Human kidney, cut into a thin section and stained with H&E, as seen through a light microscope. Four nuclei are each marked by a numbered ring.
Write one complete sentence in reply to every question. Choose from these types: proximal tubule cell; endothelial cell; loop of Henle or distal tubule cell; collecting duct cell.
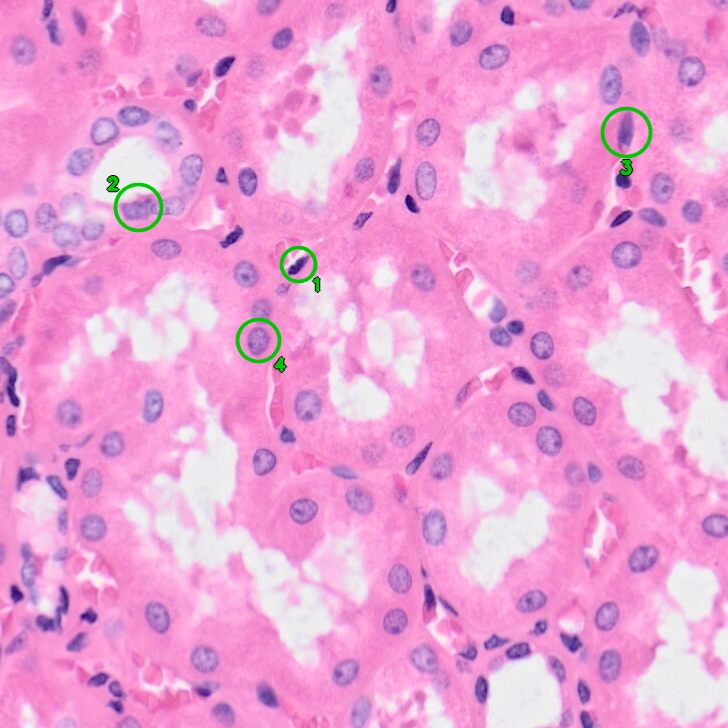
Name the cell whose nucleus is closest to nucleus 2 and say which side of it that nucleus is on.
It is a collecting duct cell, whose nucleus lies to the right of nucleus 2.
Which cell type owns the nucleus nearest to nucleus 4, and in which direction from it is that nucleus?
The nearest one is a proximal tubule cell, found above nucleus 4.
